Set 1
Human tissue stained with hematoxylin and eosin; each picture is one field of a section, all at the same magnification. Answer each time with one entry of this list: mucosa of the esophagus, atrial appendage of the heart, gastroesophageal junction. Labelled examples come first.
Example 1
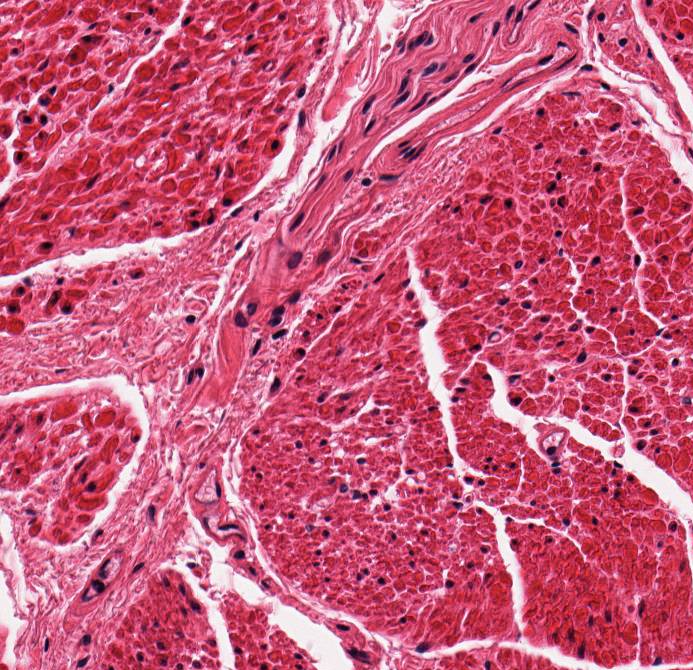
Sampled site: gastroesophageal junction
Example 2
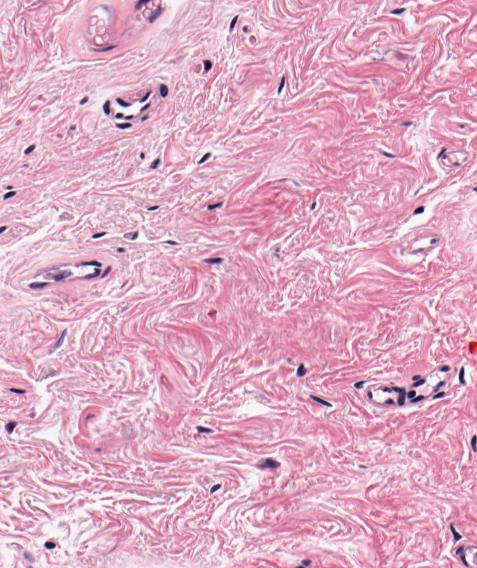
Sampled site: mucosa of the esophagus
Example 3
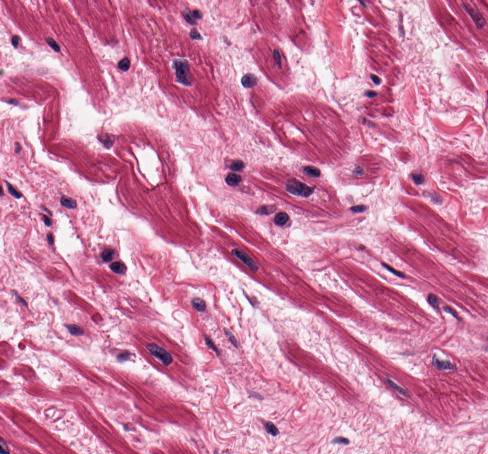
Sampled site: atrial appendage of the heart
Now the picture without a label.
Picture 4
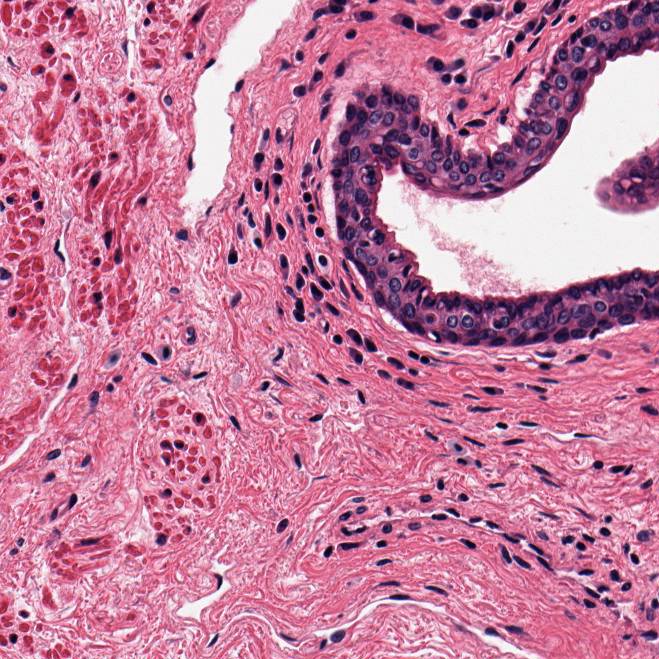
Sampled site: mucosa of the esophagus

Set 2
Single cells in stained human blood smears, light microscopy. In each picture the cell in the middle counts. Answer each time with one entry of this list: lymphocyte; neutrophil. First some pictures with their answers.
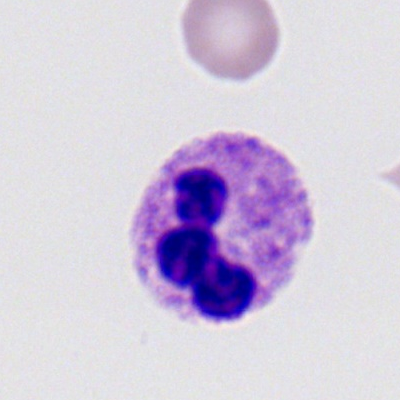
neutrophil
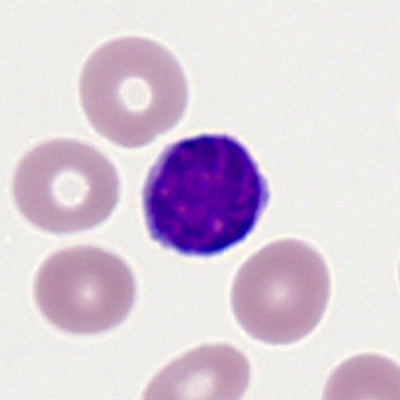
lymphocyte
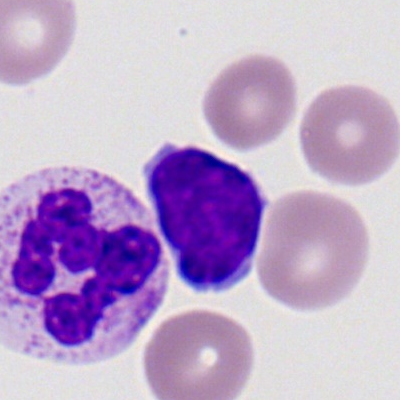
lymphocyte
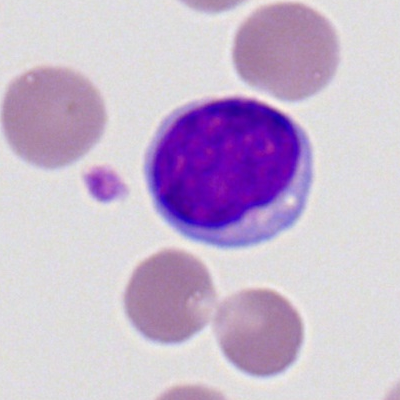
lymphocyte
